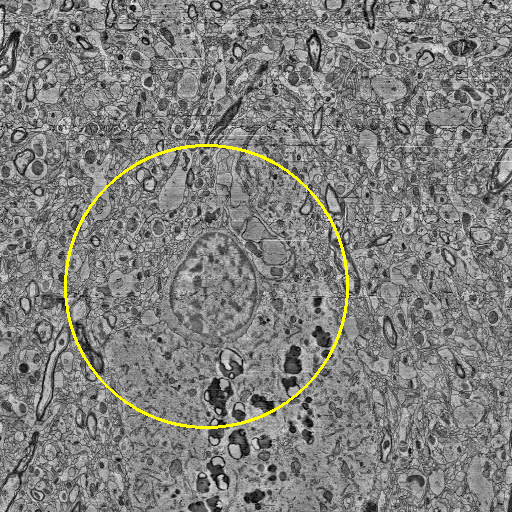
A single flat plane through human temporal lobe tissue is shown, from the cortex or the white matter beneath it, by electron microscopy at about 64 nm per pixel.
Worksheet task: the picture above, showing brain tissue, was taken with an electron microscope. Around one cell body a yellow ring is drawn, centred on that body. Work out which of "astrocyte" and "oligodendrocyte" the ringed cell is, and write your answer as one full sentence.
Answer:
It is an oligodendrocyte whose cell body lies at the centre of the yellow ring.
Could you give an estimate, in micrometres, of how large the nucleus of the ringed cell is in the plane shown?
About 7 micrometres by about 5 micrometres in this plane.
